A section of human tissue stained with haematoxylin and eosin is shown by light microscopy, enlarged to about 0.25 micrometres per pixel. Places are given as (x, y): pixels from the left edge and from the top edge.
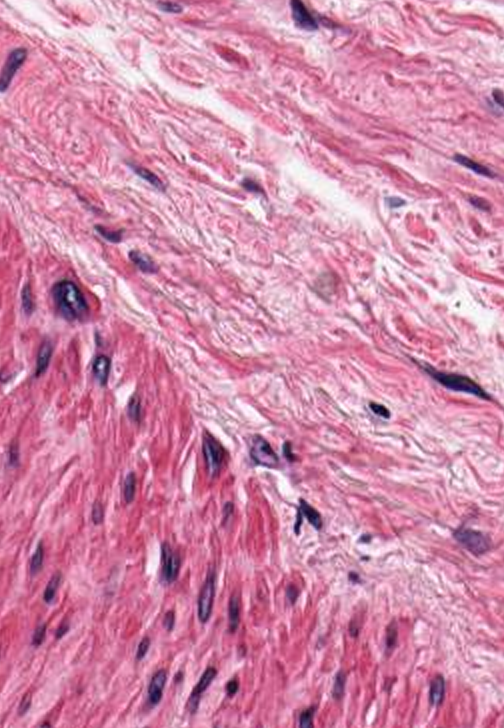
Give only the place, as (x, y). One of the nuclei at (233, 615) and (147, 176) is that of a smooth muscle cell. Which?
(233, 615)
